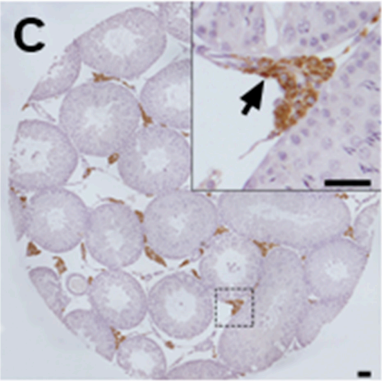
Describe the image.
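A circular section of testis shows many closely packed, round to oval seminiferous tubules in cross-section, each lined by several layers of germ cells counterstained blue-purple around a pale central lumen. In the angular spaces between the tubules lie clusters of brown-stained Leydig cells. The enlarged inset shows one such interstitial cluster: rounded, tightly grouped cells with round nuclei and brown cytoplasm, sitting against the thin walls of neighbouring tubules. The germ cells within the tubules are unstained, so the brown is confined to the interstitial clusters scattered throughout the section.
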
